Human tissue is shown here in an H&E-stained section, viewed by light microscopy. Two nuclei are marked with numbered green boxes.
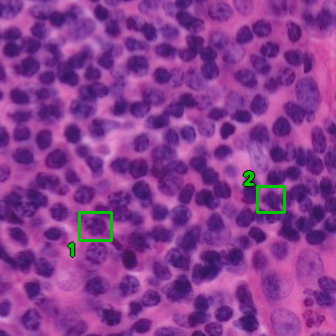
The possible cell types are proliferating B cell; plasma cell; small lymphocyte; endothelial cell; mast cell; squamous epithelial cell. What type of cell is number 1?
plasma cell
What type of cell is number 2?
small lymphocyte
